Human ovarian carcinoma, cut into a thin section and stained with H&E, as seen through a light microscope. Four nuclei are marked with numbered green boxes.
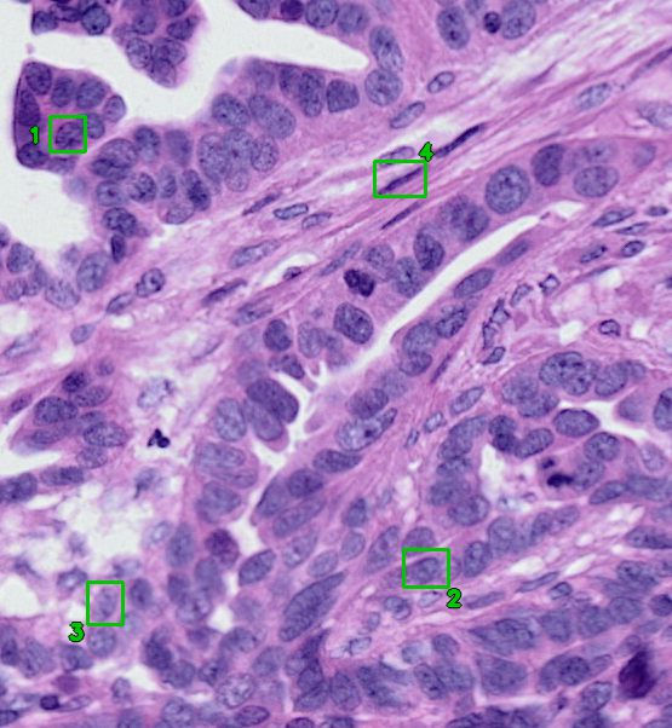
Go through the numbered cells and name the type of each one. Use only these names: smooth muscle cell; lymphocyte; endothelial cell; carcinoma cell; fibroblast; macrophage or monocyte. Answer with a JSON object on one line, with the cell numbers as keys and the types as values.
{"1": "carcinoma cell", "2": "carcinoma cell", "3": "carcinoma cell", "4": "fibroblast"}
